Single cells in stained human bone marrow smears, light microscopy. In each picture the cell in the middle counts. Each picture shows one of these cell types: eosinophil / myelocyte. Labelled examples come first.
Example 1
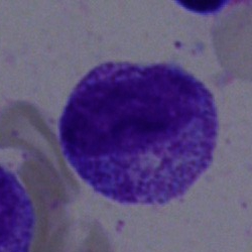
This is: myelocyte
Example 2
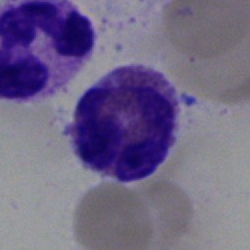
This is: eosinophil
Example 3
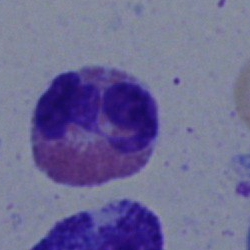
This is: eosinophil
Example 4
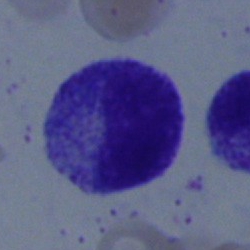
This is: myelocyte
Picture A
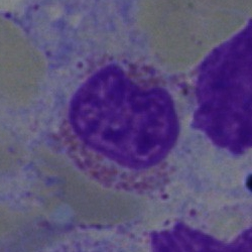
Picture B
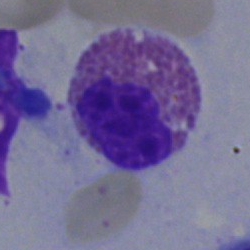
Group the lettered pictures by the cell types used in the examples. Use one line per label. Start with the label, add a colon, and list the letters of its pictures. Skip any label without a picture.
eosinophil: A, B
